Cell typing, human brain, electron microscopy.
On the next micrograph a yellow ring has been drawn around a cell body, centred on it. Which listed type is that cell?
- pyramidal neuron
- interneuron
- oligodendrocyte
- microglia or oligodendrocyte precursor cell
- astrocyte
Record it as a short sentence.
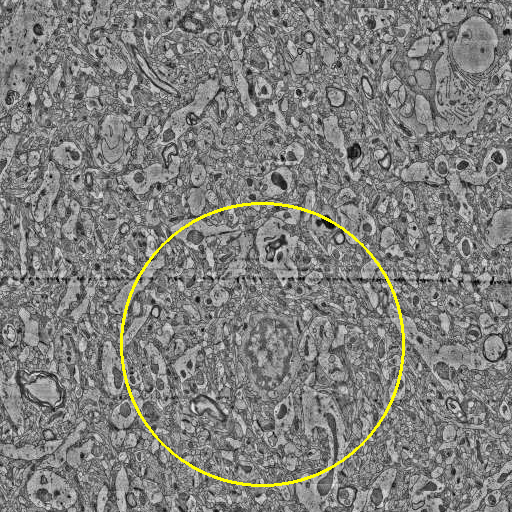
The cell body in the ring's centre belongs to an oligodendrocyte.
